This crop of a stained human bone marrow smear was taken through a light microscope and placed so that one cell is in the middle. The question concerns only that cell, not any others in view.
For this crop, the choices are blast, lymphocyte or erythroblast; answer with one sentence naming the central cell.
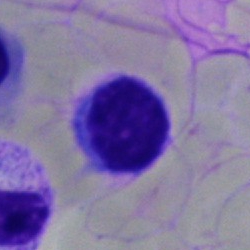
The central cell shown in this smear crop is a lymphocyte.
